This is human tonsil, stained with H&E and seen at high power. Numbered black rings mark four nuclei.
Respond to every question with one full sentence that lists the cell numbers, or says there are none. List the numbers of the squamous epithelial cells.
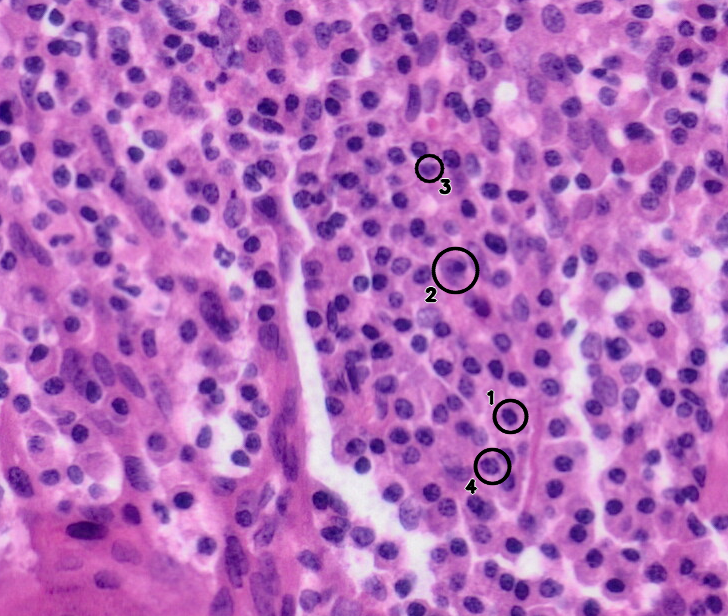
Of the numbered nuclei, only the one labelled 2 belongs to a squamous epithelial cell.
